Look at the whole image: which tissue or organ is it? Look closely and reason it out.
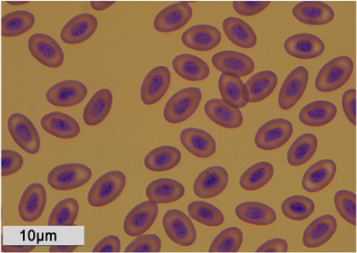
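Peripheral blood. Separate, non-adherent cells spread in a single layer. Nearly all cells are oval with a central oval nucleus and red cytoplasm. No tissue architecture, only free cells.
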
